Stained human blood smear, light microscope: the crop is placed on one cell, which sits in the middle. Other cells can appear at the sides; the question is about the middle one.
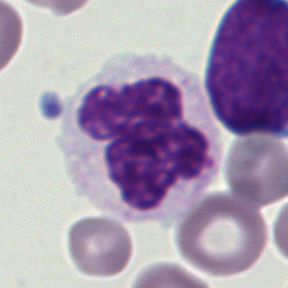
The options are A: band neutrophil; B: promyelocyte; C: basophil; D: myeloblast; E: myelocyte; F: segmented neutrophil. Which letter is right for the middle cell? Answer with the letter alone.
F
